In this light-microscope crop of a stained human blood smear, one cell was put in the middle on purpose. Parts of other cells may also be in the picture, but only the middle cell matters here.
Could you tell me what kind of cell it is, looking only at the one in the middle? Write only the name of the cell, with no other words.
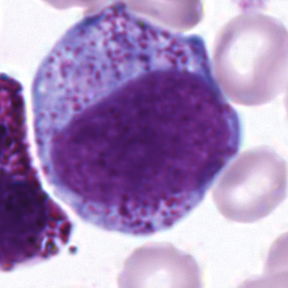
promyelocyte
